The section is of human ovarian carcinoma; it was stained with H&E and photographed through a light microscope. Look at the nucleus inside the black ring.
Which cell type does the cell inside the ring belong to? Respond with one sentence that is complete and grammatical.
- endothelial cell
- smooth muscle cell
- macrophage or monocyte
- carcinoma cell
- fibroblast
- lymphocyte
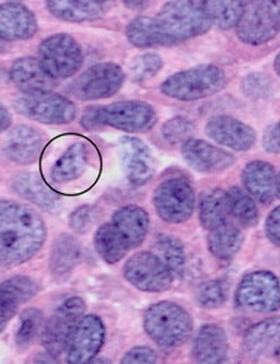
The classification of the cell inside the ring is as a macrophage or monocyte.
